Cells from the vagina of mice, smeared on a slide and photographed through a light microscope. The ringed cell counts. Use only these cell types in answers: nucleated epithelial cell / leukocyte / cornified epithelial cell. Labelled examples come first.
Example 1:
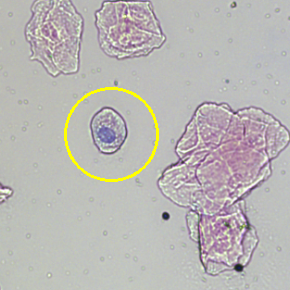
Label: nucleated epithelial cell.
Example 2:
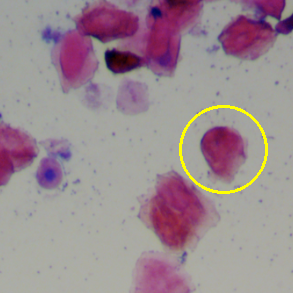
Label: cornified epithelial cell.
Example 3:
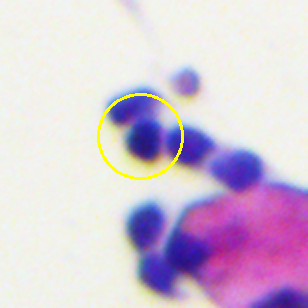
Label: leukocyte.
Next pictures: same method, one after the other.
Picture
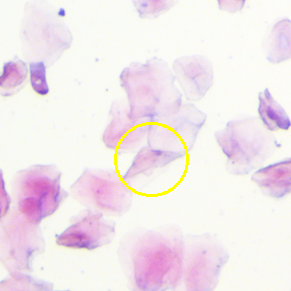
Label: cornified epithelial cell.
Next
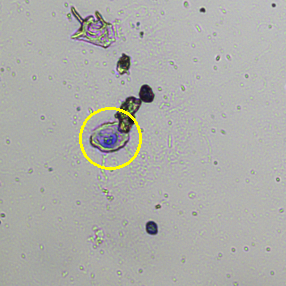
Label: nucleated epithelial cell.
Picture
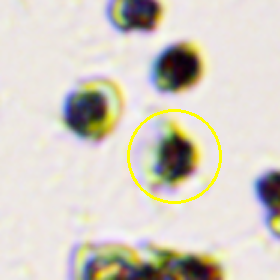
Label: leukocyte.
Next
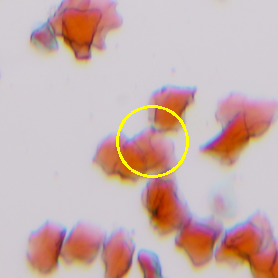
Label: cornified epithelial cell.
